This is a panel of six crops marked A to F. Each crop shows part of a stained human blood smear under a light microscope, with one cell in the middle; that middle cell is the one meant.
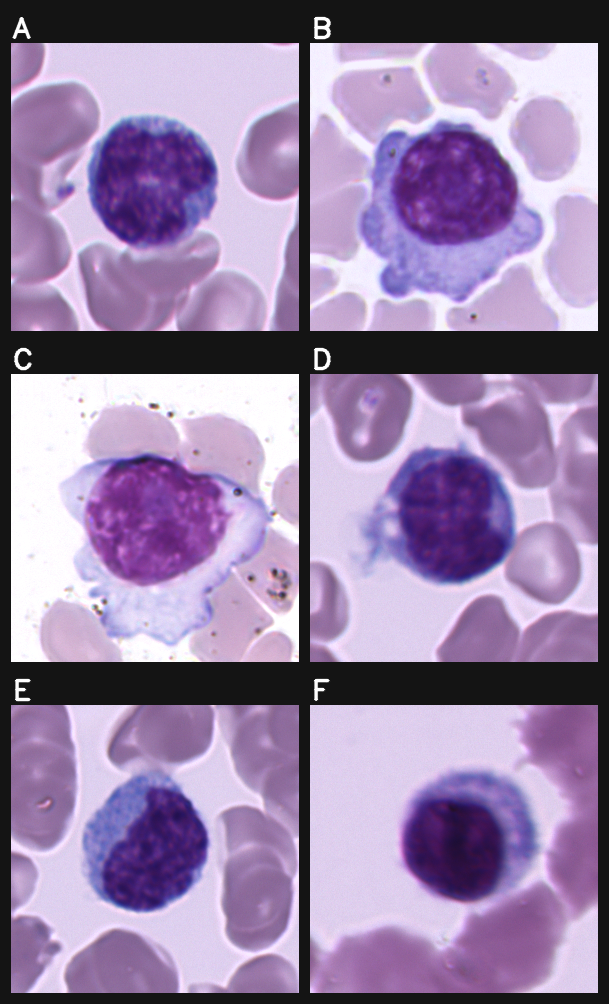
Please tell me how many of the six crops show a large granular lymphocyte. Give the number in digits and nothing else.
0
